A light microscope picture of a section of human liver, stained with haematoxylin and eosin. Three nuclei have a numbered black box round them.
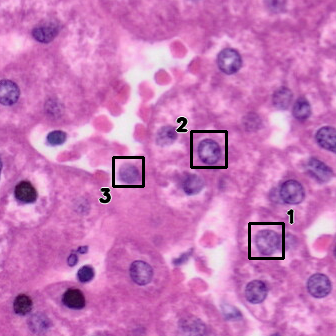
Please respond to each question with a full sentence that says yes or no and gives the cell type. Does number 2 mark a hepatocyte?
Yes, the cell that number 2 points to is a hepatocyte.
